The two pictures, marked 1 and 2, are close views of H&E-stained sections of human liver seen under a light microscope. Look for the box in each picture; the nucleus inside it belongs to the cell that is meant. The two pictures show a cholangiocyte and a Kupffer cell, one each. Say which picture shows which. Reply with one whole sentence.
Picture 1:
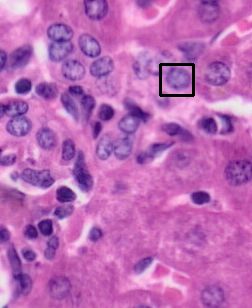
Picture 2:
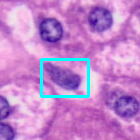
In picture 1 the cell is a cholangiocyte; in picture 2, a Kupffer cell.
